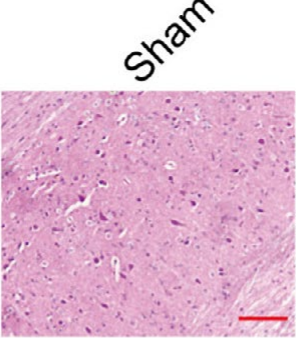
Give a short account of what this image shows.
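Cells with purple nuclei are scattered fairly evenly through it rather than crowded together. A few larger cell bodies with purple-tinged cytoplasm, consistent with neurons, lie among the smaller nuclei. Small clear spaces, some resembling vessel profiles, interrupt the pink background.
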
